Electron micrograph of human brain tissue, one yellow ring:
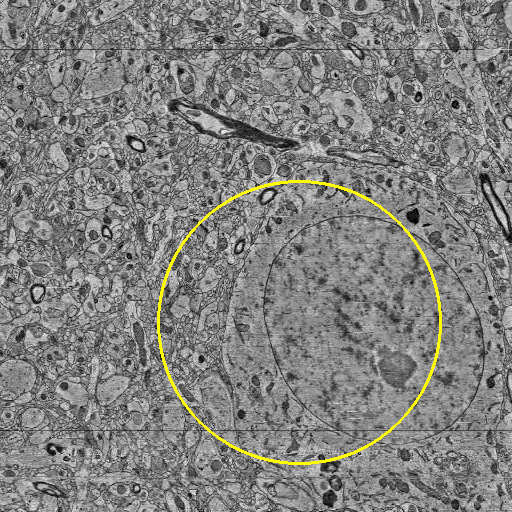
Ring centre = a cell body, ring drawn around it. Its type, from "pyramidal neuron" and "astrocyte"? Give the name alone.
pyramidal neuron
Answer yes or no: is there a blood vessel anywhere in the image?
No, no vessel shows anywhere in the image.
